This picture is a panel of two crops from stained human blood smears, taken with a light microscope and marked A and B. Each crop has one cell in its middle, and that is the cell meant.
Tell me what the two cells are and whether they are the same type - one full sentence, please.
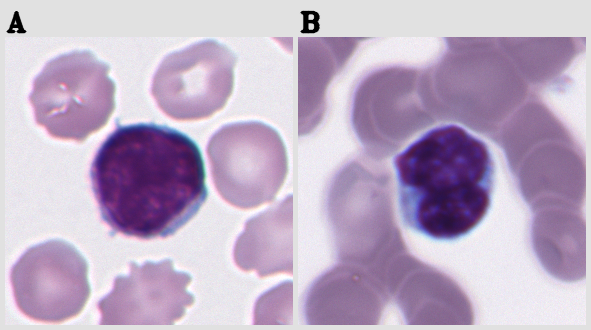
Yes, these two crops both show typical lymphocytes.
